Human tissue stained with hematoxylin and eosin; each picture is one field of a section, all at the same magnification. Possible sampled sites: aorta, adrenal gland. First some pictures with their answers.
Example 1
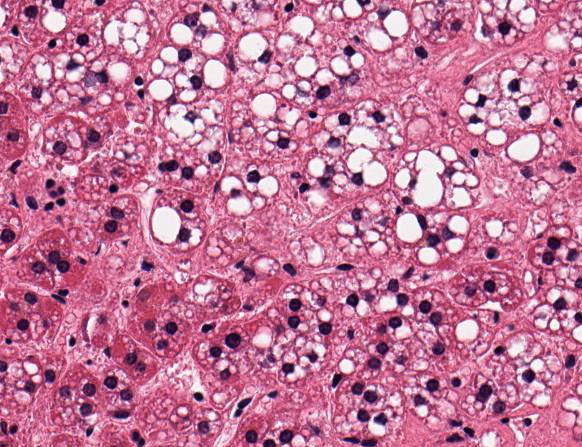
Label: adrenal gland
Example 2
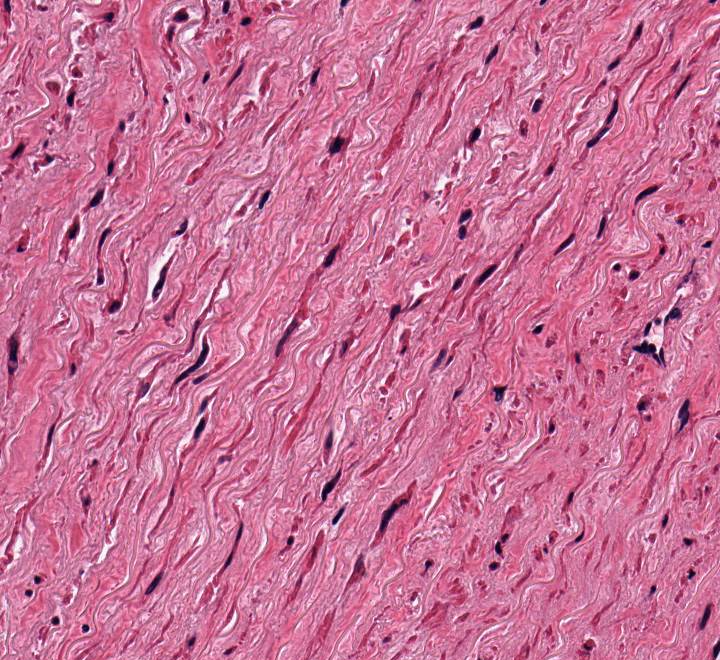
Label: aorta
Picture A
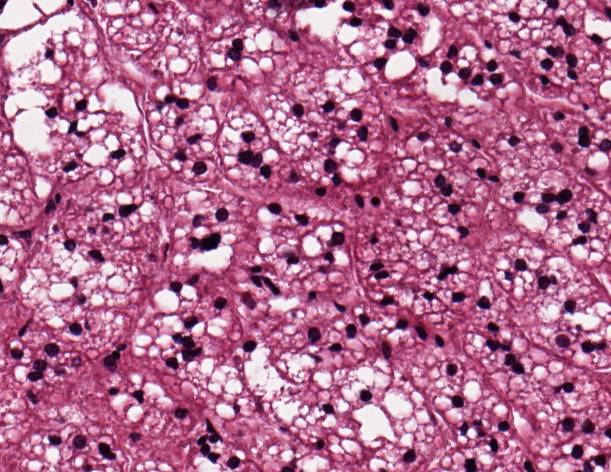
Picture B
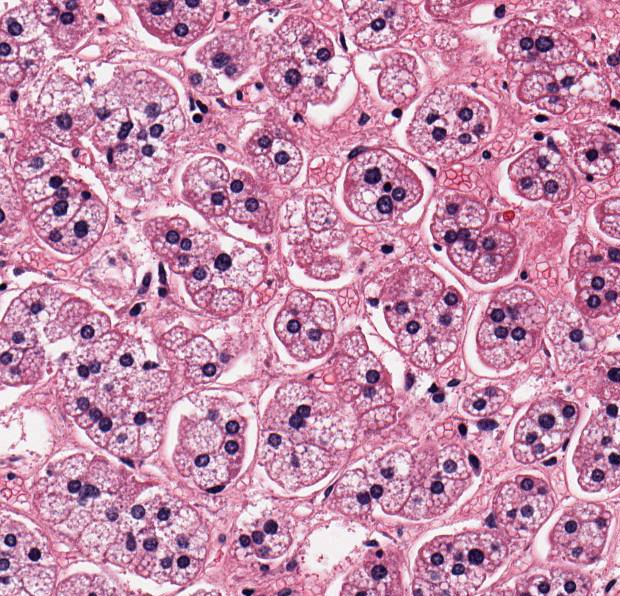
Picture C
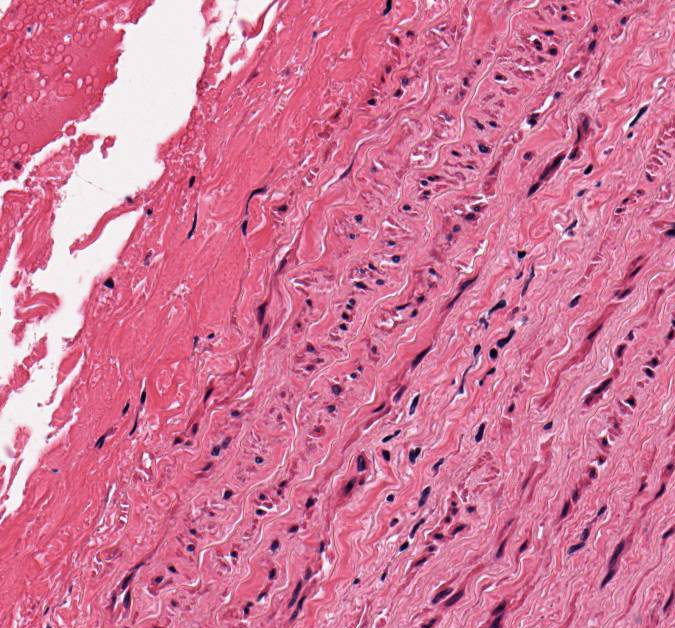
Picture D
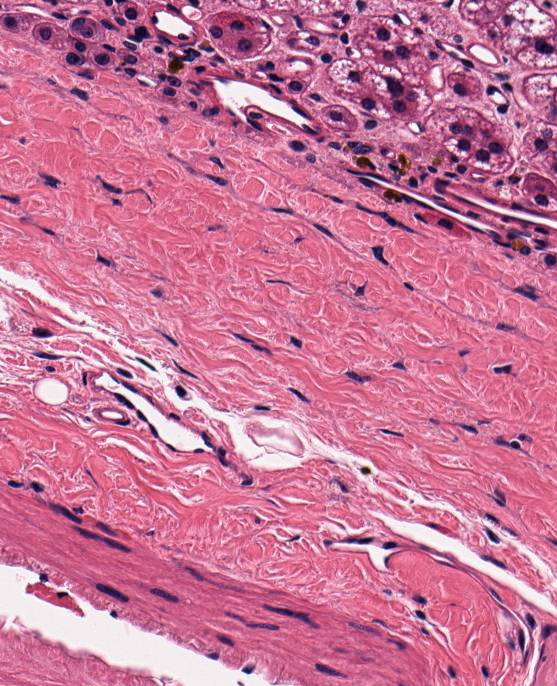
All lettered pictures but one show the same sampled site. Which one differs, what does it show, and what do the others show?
Different: C, aorta. Others: adrenal gland.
